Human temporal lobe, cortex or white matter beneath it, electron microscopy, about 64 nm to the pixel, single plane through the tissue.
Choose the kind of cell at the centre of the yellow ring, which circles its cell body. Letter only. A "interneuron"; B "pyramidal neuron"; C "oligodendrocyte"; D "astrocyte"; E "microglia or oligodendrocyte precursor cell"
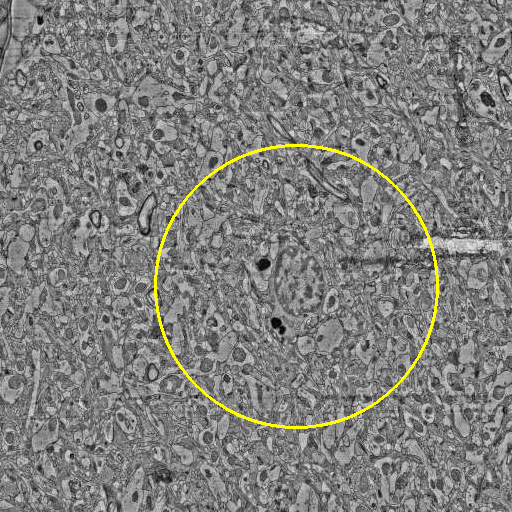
C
